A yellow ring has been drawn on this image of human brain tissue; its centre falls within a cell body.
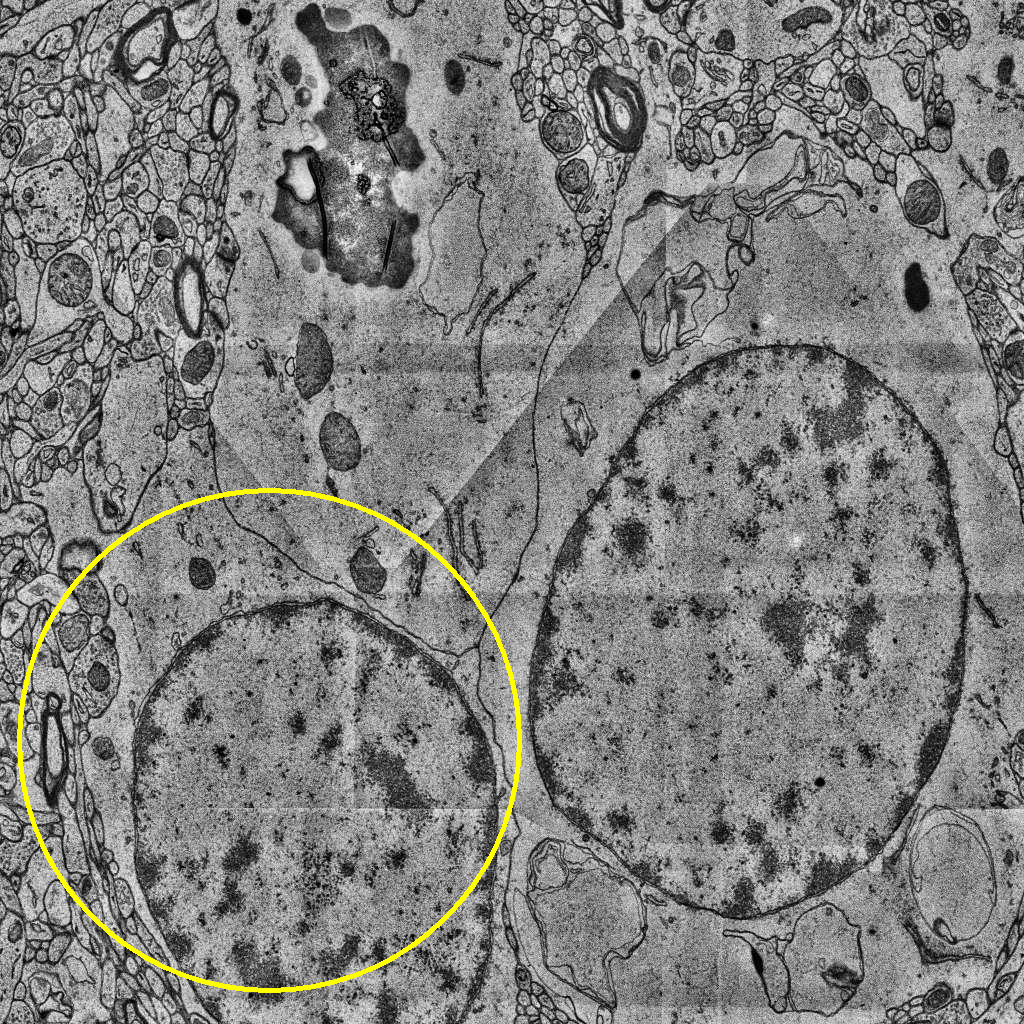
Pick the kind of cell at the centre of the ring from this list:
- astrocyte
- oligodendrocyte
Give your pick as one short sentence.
The centre of the ring holds an astrocyte.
